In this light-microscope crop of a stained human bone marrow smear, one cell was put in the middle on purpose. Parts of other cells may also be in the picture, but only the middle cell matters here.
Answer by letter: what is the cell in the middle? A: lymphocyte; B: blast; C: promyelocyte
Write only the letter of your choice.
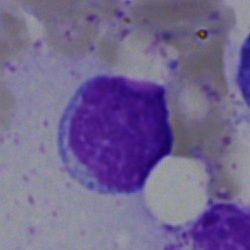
A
